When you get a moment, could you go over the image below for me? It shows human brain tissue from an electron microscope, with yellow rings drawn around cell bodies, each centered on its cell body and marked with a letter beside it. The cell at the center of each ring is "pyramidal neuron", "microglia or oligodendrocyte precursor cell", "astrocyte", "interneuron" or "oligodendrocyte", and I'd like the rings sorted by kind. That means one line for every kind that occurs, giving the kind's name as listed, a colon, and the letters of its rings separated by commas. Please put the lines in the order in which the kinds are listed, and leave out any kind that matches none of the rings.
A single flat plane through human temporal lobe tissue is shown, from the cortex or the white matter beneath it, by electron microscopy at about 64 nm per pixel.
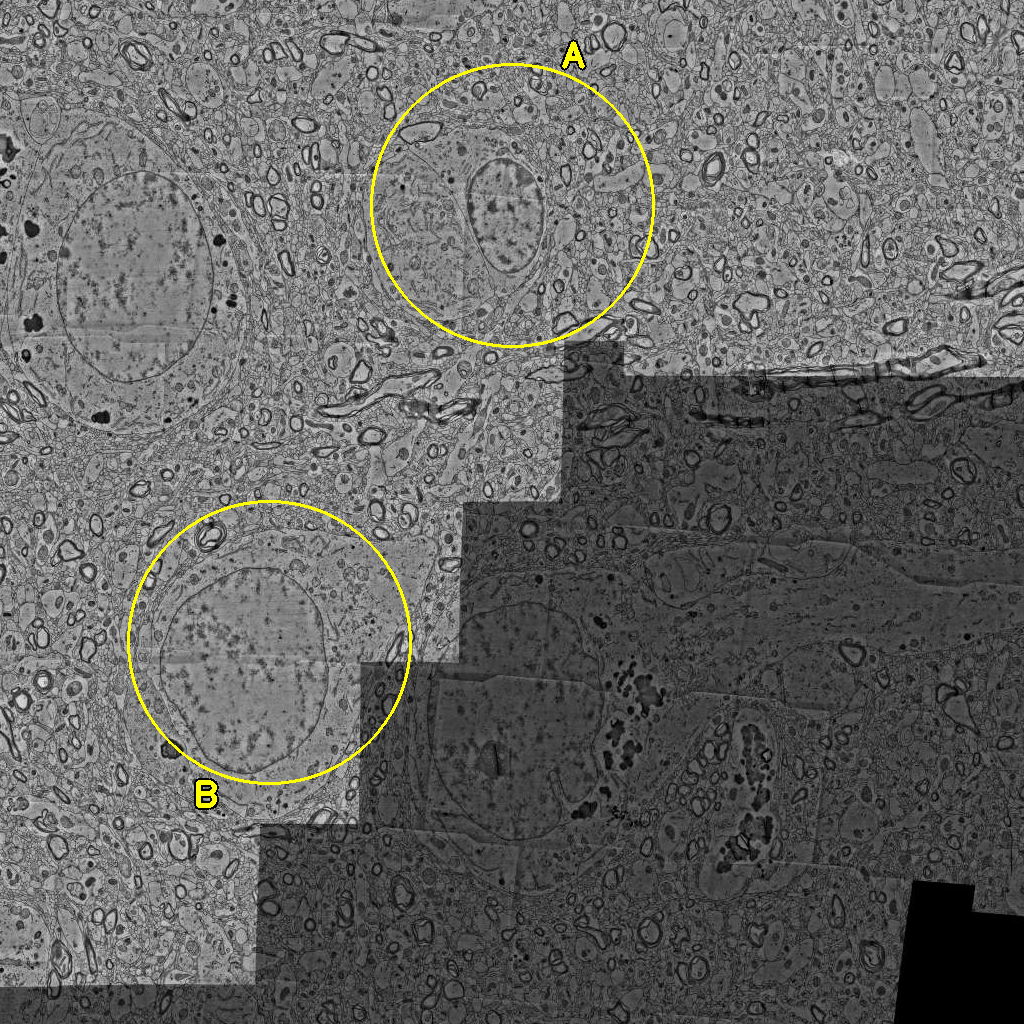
pyramidal neuron: B
microglia or oligodendrocyte precursor cell: A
